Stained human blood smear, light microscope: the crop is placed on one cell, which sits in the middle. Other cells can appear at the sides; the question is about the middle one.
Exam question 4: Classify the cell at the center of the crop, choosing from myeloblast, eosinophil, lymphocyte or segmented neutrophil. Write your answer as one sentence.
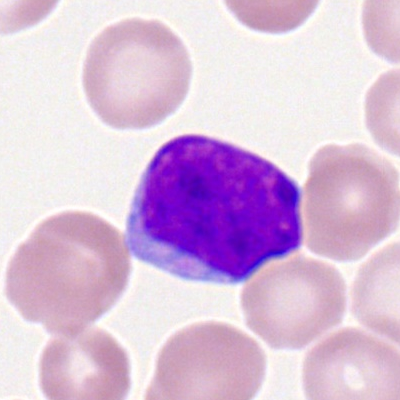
To answer, the cell in the center of the crop is a myeloblast.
